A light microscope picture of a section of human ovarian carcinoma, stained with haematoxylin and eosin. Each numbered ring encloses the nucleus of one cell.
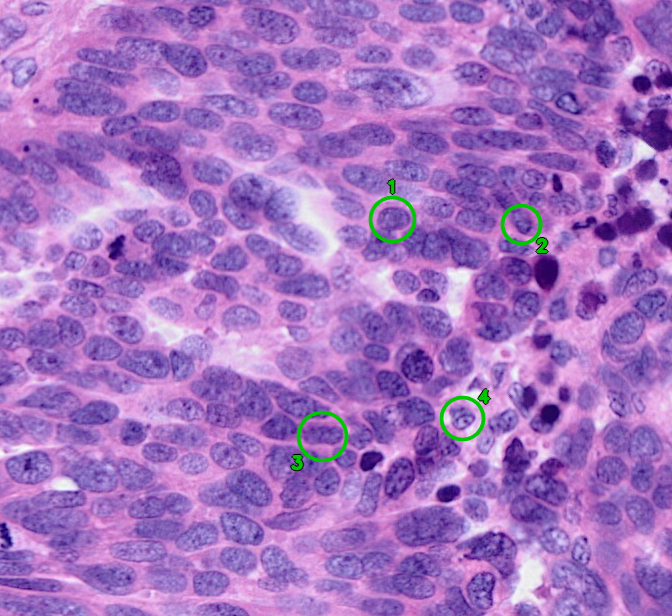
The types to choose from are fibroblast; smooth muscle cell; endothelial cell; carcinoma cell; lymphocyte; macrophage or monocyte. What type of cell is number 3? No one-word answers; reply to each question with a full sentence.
Cell 3 is classified as a carcinoma cell.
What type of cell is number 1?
The expected answer is that cell 1 is a carcinoma cell.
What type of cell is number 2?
Cell 2 should be recorded as a carcinoma cell.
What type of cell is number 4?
The cell that carries the label 4 is a macrophage or monocyte.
